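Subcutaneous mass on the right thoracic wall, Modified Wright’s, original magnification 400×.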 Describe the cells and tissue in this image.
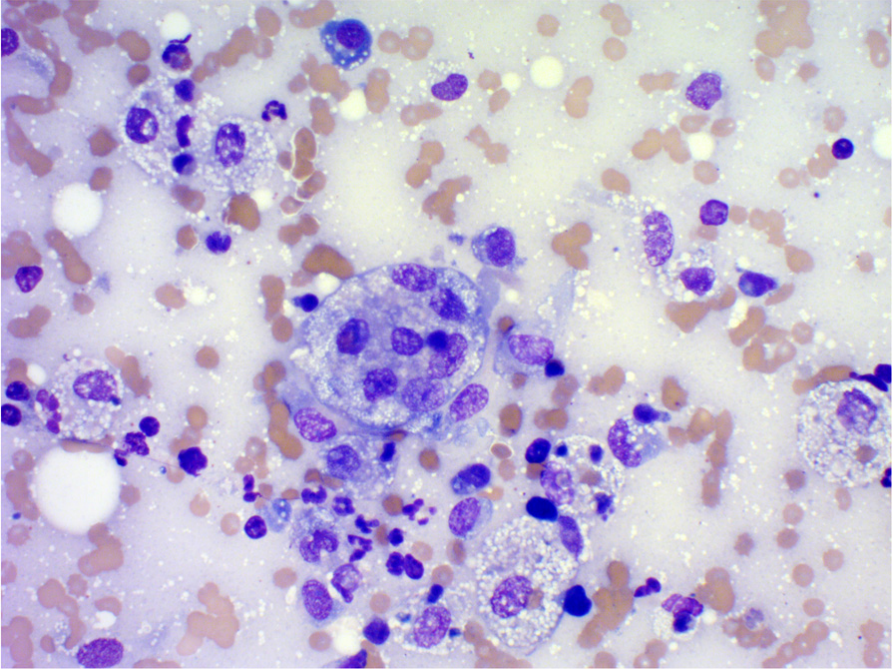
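This aspirate is dominated by macrophages, large cells with round to oval nuclei and abundant pale, foamy, vacuolated cytoplasm, some of which hold small dark engulfed fragments. In the centre lies a huge multinucleated macrophage with many oval nuclei in a wide sheet of finely vacuolated cytoplasm. Between them are small neutrophils with dense segmented nuclei, set on a pale bluish background crowded with orange-pink red blood cells.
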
